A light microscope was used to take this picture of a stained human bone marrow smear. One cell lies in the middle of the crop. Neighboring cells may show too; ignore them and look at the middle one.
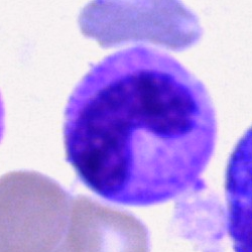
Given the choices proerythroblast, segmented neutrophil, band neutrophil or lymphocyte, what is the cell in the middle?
band neutrophil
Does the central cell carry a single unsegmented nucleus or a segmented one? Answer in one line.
Have a look at the nucleus, which is one compact mass, round, oval or kidney-shaped.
